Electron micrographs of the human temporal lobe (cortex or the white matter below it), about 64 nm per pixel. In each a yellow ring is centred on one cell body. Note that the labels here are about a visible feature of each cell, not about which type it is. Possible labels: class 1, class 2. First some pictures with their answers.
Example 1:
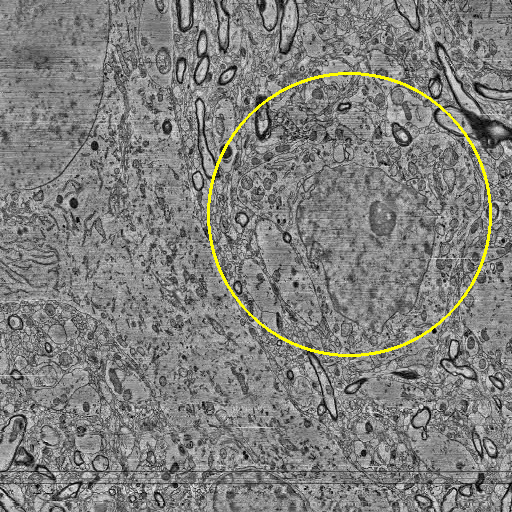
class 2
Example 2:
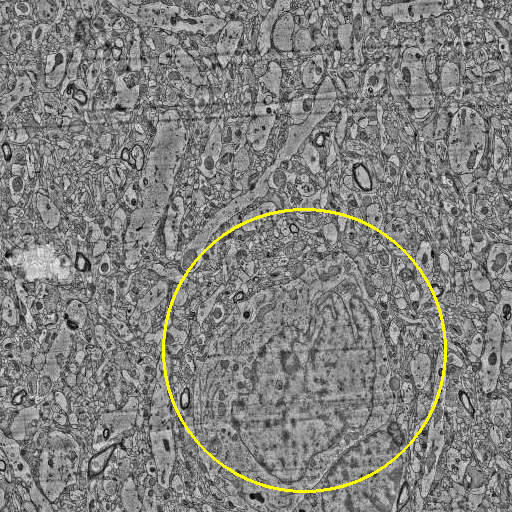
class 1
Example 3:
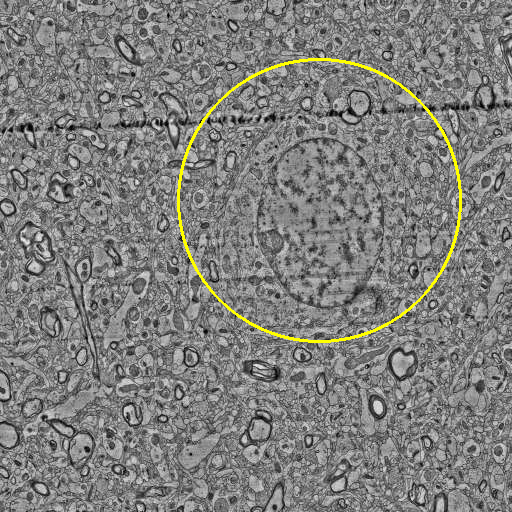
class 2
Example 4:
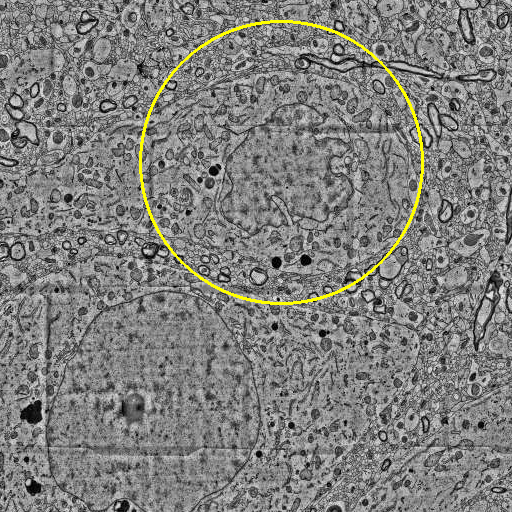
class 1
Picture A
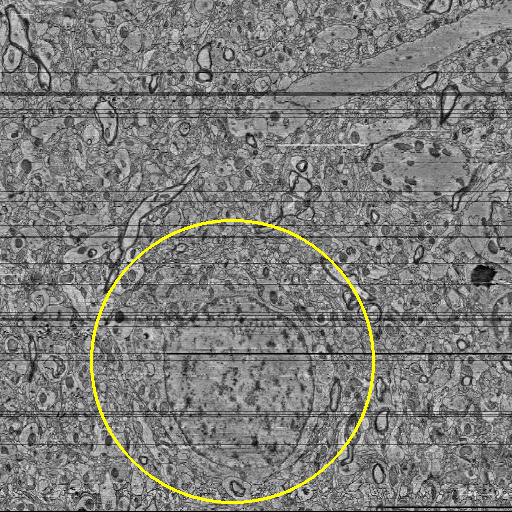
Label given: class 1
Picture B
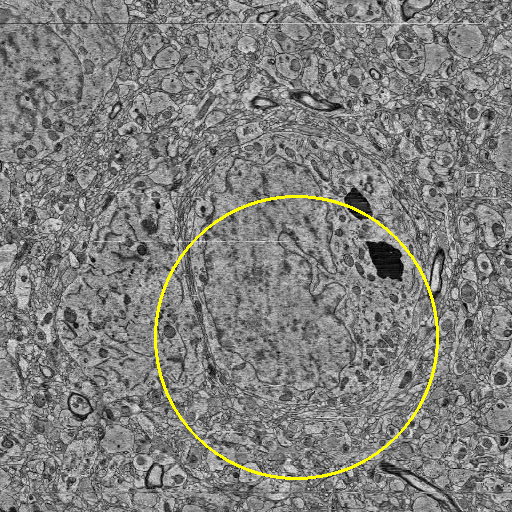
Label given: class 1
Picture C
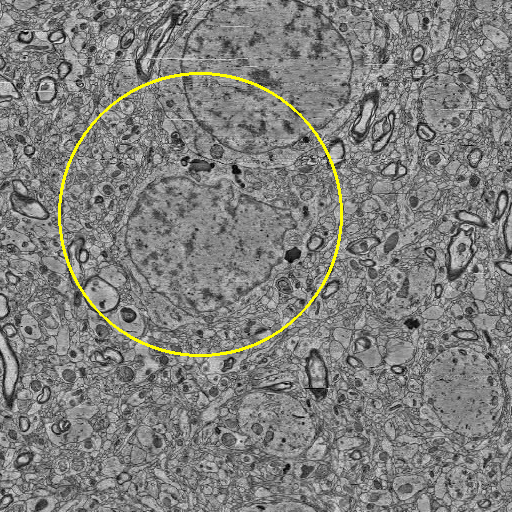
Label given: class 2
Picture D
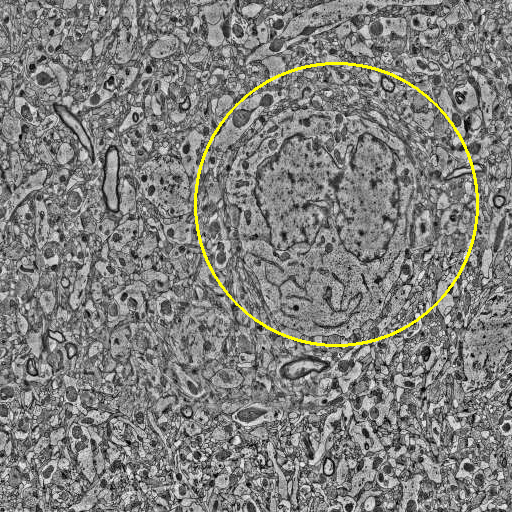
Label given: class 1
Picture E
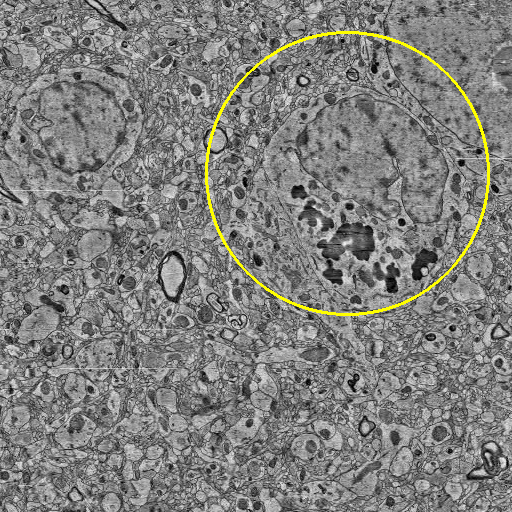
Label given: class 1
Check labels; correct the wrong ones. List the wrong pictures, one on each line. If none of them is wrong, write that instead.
A is labelled class 1; correct label: class 2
